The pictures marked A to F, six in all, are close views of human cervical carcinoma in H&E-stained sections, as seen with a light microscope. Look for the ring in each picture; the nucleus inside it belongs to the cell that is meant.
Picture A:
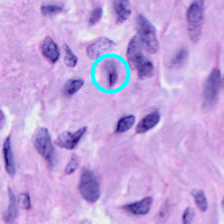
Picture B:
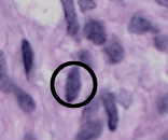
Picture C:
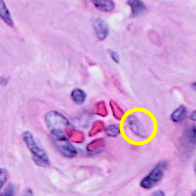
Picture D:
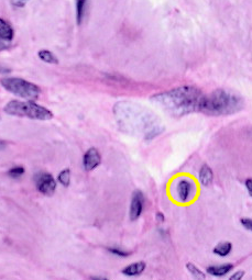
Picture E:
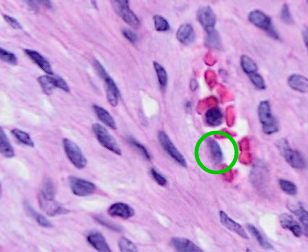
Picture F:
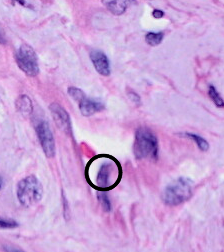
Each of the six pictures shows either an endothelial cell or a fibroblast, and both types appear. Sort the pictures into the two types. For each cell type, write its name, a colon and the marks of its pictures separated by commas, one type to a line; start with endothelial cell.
endothelial cell: C, E, F
fibroblast: A, B, D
